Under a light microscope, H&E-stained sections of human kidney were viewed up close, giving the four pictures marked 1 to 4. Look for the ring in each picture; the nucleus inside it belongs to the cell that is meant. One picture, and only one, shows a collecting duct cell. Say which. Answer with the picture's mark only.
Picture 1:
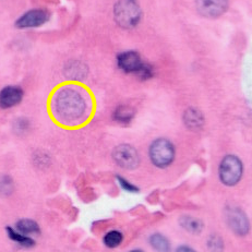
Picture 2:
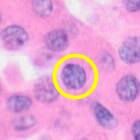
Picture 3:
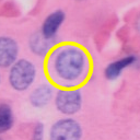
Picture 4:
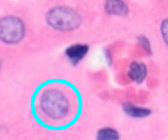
3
